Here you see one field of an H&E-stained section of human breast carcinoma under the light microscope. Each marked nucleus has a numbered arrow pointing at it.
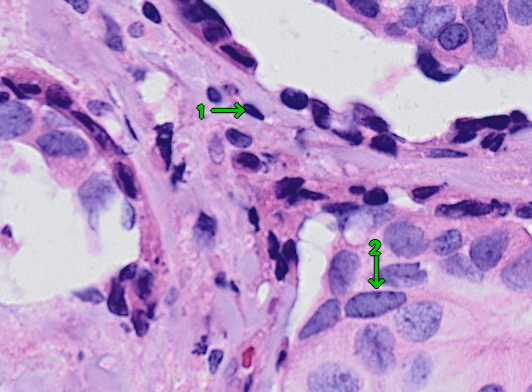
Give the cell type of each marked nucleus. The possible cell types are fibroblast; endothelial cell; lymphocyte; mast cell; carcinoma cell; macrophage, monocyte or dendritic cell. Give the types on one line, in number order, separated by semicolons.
lymphocyte; carcinoma cell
